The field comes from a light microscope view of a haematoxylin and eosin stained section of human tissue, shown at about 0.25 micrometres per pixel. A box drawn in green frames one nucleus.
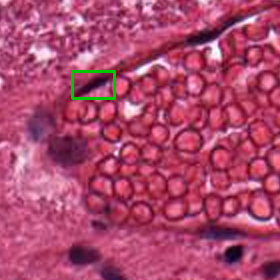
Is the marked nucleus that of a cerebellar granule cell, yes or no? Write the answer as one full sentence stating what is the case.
No, the marked nucleus is not part of a cerebellar granule cell and instead belongs to a supporting cell.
